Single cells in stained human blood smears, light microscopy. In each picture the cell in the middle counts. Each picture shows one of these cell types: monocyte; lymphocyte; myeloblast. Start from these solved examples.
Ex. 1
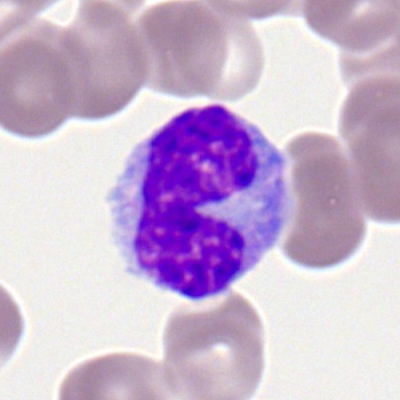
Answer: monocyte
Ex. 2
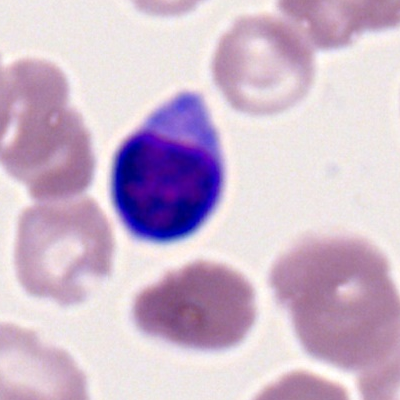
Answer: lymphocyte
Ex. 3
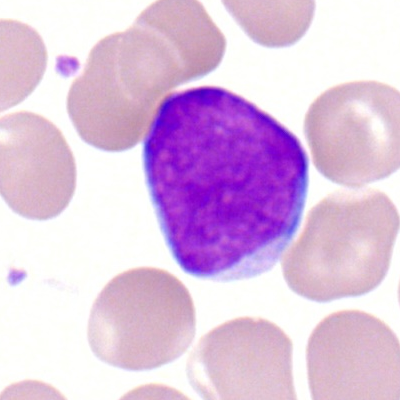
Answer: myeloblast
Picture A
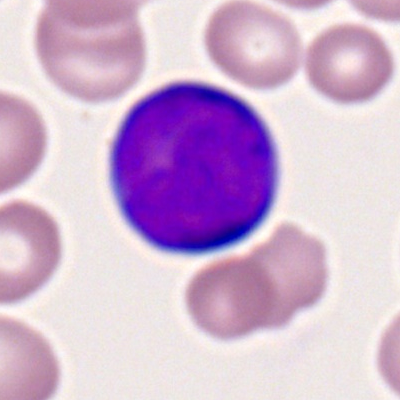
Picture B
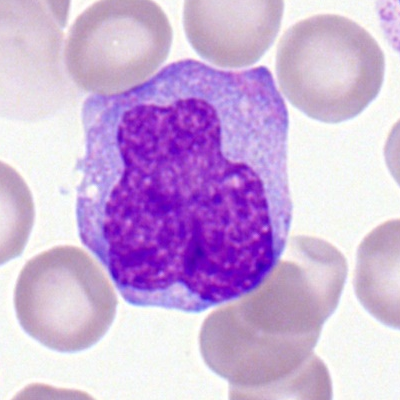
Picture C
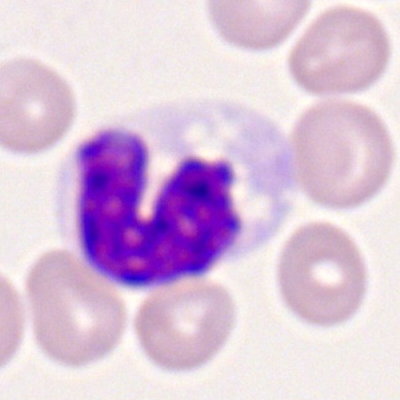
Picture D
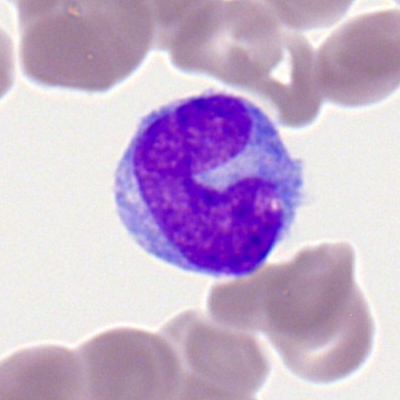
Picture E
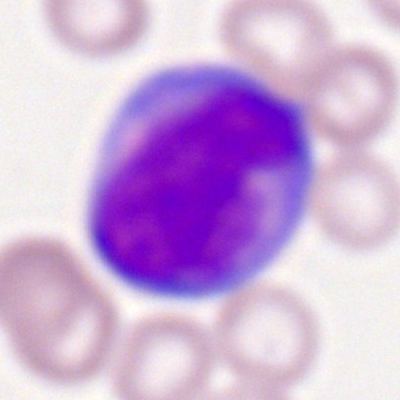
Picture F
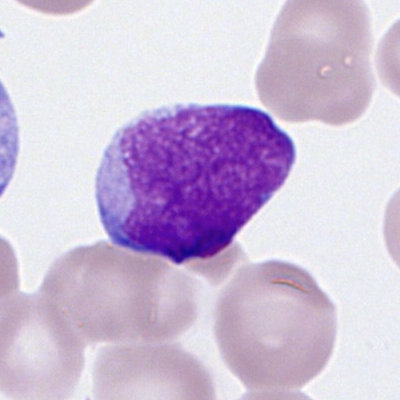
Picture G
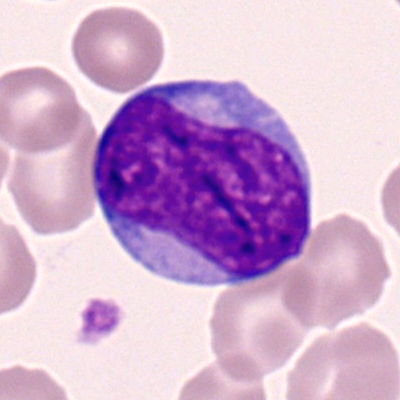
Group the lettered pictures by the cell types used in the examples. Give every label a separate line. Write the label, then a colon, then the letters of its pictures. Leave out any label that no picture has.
monocyte: B, C, D
myeloblast: A, E, F, G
